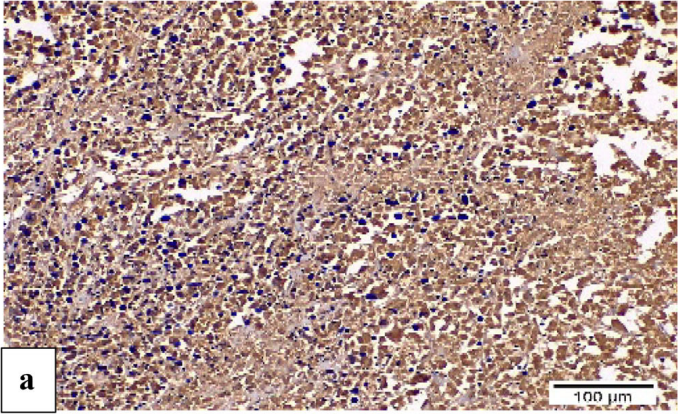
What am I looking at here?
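This is solid tumour tissue made of dense sheets of closely packed tumour cells. Nearly the whole field is taken up by cells with a brown stain, and blue nuclei are scattered among them. The cells are irregular in size and shape and lie without any orderly arrangement. Small clear spaces open here and there between the cells, especially towards the right edge. No separating stroma or nests are made out, so the tumour forms a continuous cellular mass.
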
